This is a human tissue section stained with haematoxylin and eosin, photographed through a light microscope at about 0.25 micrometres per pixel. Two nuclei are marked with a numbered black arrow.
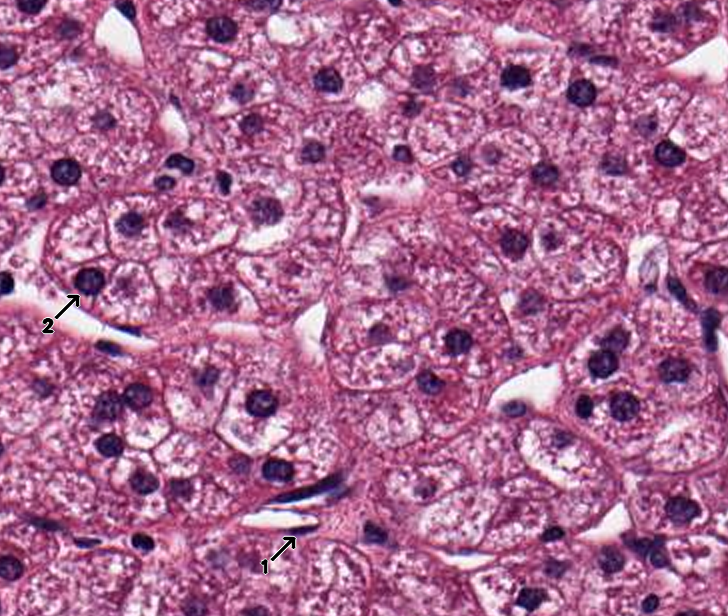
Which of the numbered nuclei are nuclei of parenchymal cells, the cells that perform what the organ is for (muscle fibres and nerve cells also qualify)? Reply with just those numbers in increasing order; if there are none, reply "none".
2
